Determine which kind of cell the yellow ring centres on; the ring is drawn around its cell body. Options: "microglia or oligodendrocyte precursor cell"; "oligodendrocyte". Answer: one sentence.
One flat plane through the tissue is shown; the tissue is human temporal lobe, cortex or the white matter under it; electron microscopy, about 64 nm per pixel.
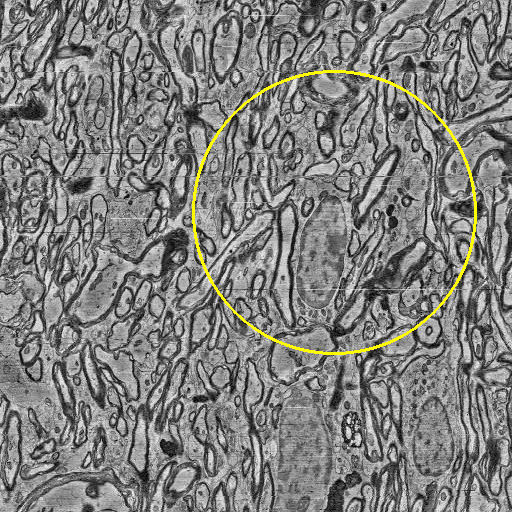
The ring centres on a microglial cell or oligodendrocyte precursor cell.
